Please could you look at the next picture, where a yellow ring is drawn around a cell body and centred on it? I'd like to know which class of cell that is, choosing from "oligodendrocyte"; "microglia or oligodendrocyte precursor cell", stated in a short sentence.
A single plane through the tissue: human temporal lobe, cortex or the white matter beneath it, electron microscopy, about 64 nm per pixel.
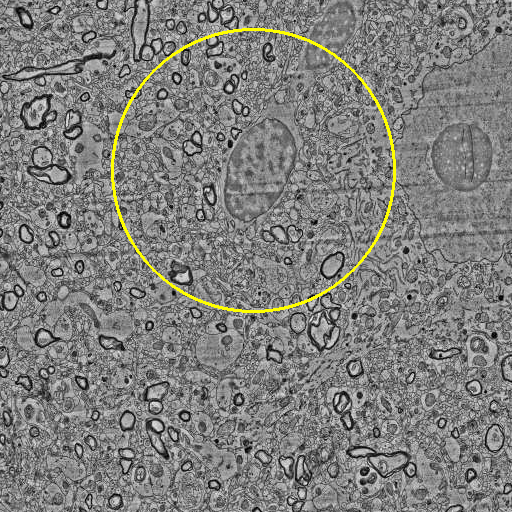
The ring's centre lies on an oligodendrocyte.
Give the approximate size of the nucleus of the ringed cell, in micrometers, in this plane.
The nucleus has a long axis of about 7 micrometres and a short axis of about 4 micrometres in this plane.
